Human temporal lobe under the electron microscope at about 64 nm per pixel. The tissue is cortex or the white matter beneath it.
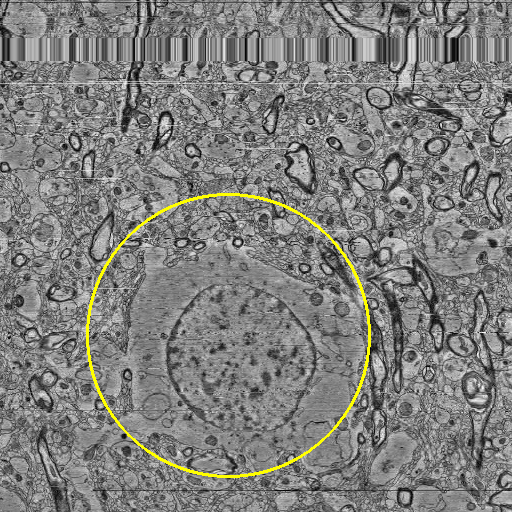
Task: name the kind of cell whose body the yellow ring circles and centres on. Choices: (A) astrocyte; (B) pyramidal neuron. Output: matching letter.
A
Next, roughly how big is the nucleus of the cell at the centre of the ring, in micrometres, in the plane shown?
Roughly 10 micrometres across for the nucleus, in this plane.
